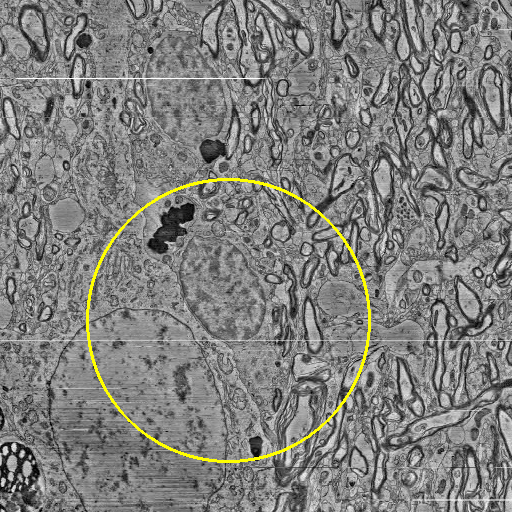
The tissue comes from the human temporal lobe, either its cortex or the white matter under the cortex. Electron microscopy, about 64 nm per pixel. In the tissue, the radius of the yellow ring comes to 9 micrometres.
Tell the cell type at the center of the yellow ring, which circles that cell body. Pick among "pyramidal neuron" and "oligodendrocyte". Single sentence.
The ring is centered on the body of an oligodendrocyte.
